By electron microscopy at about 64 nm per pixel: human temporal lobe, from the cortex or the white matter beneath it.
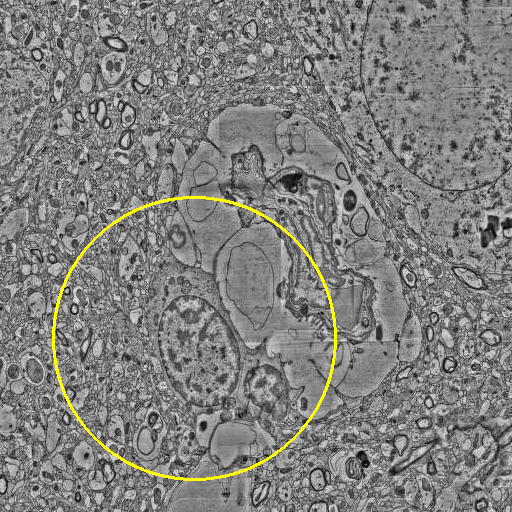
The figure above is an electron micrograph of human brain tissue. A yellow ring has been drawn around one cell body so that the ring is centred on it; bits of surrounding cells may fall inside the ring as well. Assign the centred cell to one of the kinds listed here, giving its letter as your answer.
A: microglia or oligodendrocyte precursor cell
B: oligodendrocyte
B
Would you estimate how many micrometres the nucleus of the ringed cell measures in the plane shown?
In this plane, approximately 7 by 5 micrometers, and clearly longer than it is wide.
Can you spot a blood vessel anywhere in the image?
Yes, a blood vessel shows in the picture.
